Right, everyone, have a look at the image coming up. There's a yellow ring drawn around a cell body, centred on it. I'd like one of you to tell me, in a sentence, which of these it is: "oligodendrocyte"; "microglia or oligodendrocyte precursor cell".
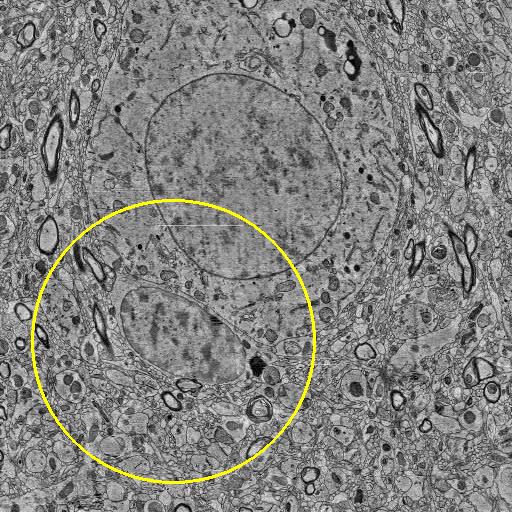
The yellow ring sits on an oligodendrocyte.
